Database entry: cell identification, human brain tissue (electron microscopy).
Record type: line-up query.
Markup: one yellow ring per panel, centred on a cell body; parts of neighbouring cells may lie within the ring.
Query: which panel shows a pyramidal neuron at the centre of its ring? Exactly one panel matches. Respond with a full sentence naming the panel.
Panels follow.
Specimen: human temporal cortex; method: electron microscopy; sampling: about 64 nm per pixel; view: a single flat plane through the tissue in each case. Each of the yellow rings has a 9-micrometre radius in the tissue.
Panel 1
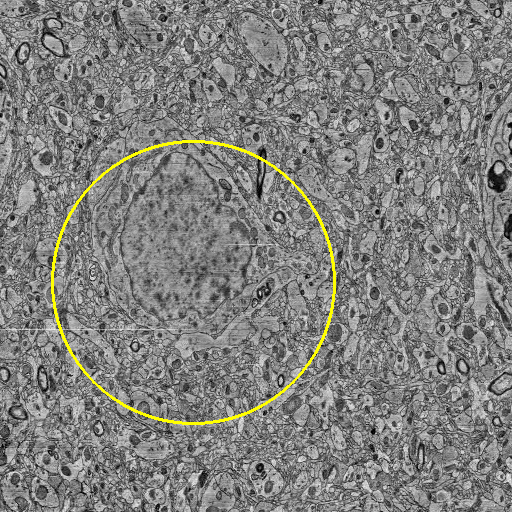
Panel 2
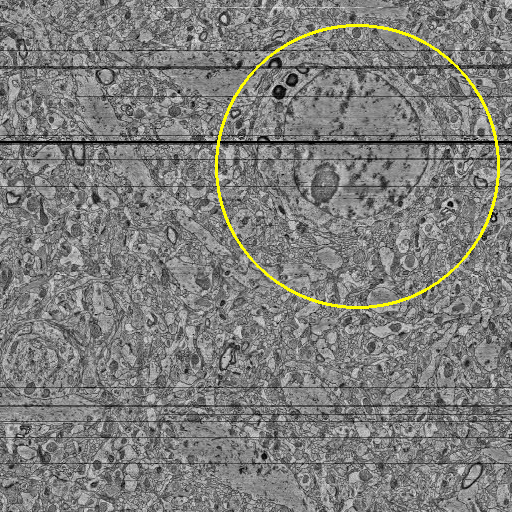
Panel 2 shows it at the centre of the ring.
